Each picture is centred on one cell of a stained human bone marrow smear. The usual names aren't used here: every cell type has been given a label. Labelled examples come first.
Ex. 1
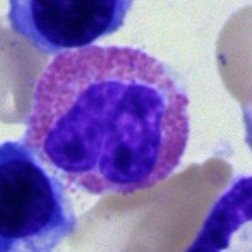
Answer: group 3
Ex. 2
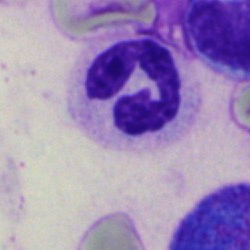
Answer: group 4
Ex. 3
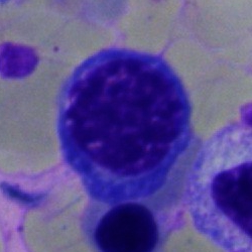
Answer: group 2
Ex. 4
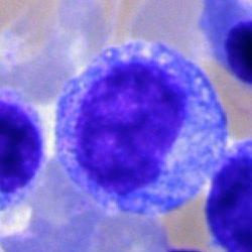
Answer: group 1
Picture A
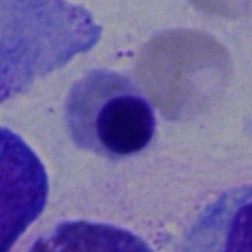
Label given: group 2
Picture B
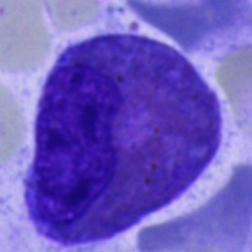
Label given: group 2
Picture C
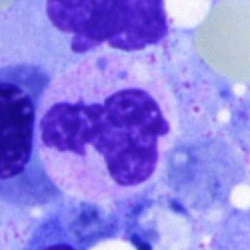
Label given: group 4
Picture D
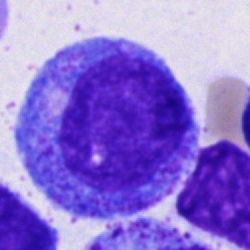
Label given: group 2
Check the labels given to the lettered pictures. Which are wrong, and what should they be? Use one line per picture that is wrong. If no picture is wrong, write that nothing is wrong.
B: not group 2 but group 3
D: not group 2 but group 1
